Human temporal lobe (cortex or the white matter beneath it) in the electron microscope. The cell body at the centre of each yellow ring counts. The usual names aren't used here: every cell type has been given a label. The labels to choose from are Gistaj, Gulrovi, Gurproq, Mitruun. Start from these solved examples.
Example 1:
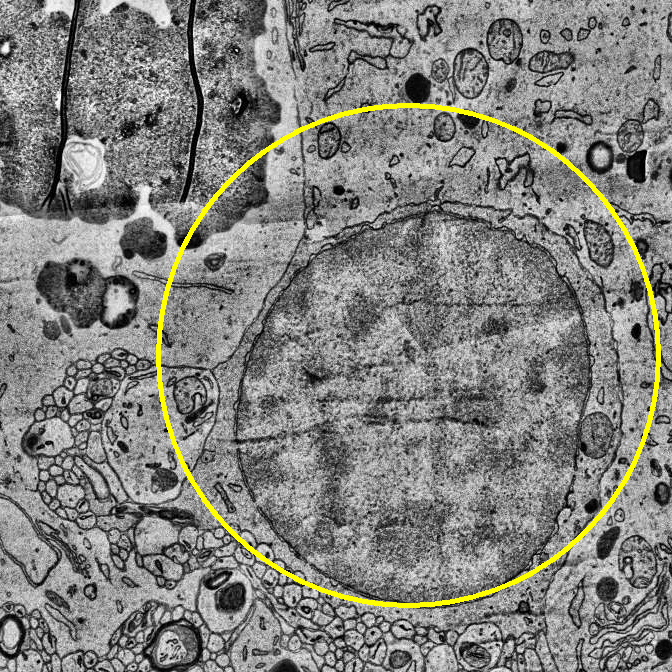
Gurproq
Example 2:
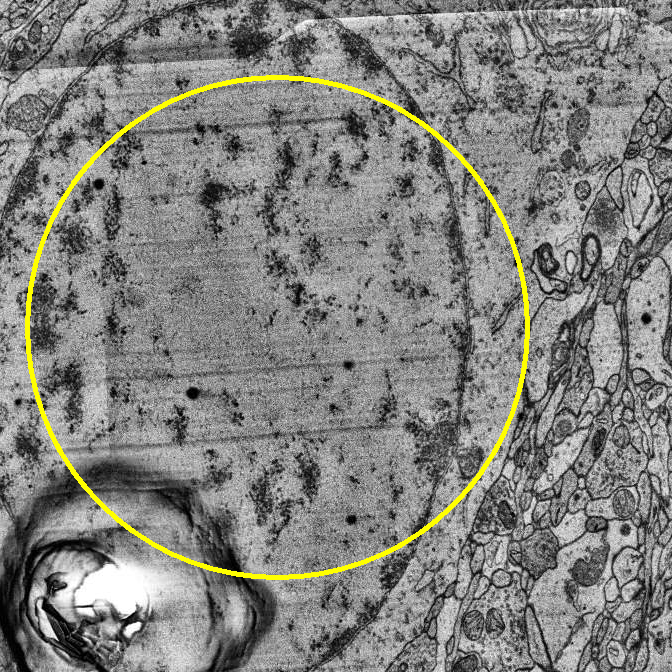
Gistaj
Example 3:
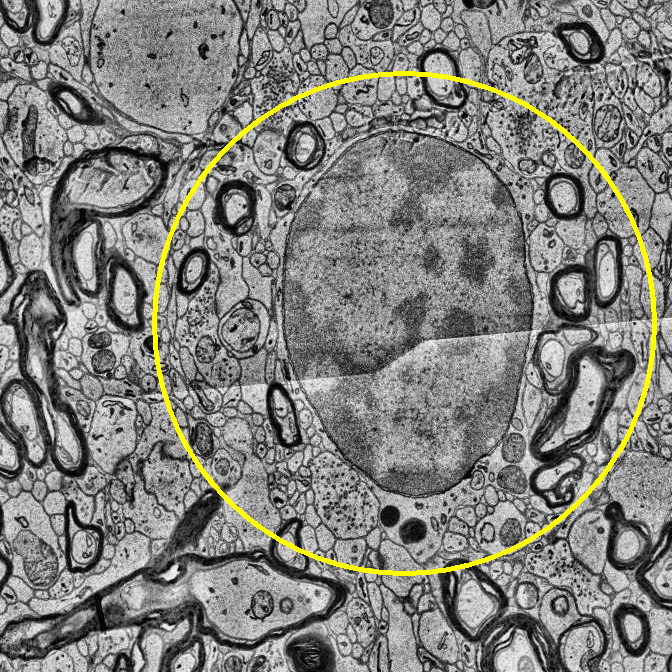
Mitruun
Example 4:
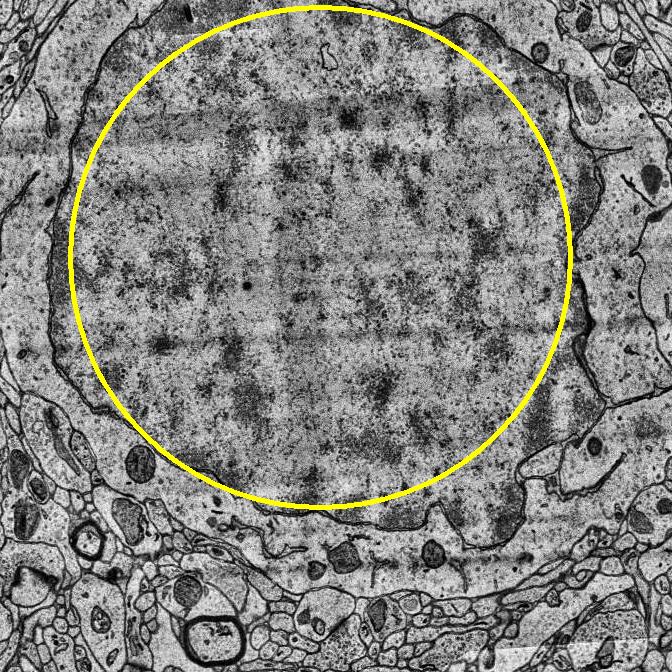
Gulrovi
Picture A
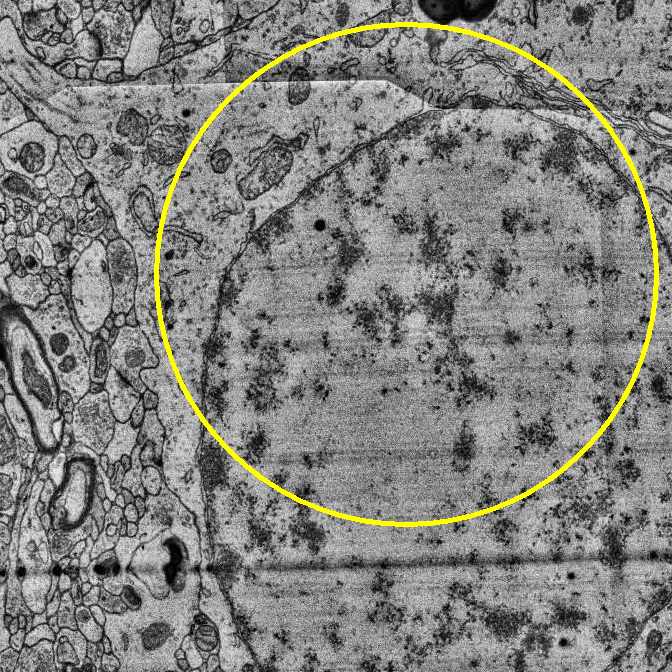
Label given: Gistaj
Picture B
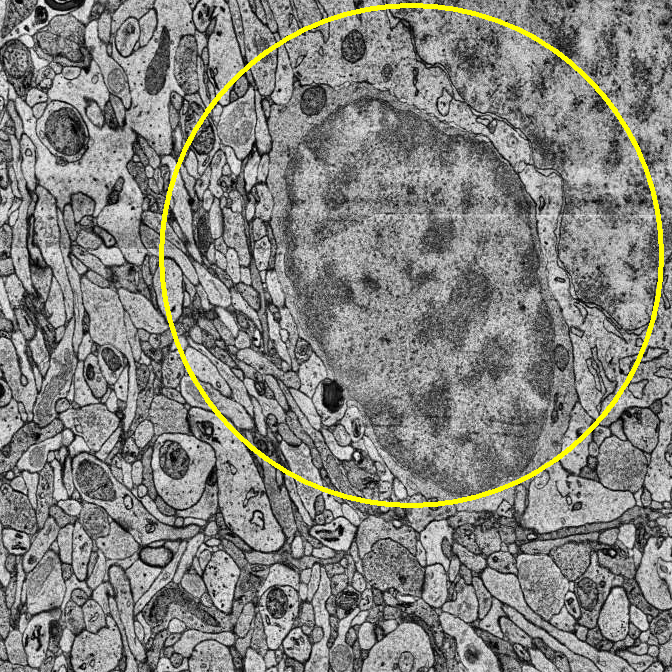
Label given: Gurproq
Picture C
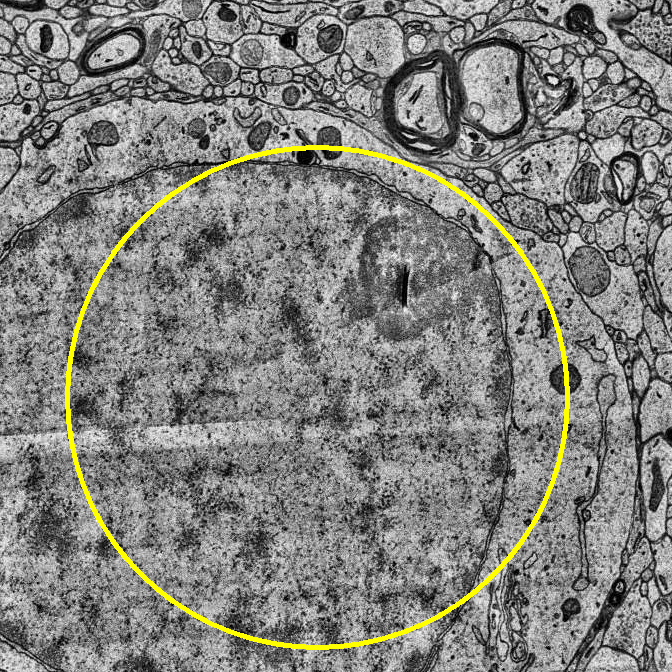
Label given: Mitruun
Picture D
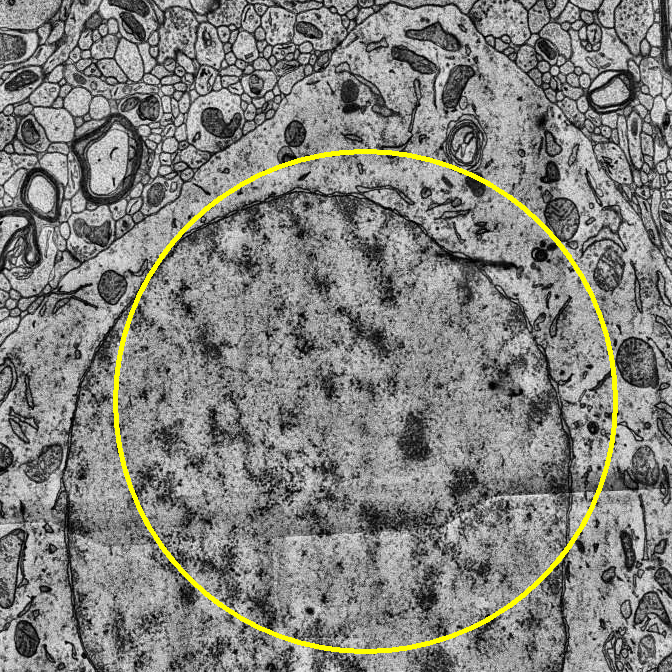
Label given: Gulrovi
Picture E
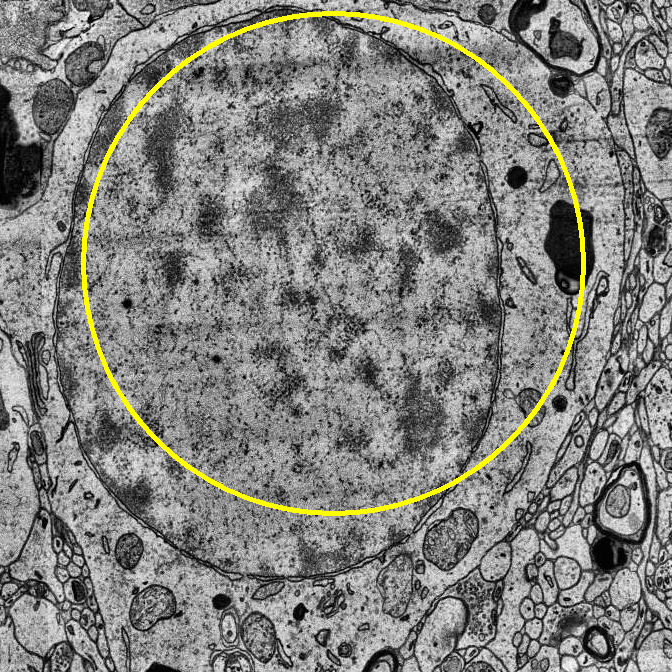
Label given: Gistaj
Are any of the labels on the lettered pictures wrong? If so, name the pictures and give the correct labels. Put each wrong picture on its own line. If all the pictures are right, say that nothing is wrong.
C: Gulrovi, not Mitruun
E: Gulrovi, not Gistaj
